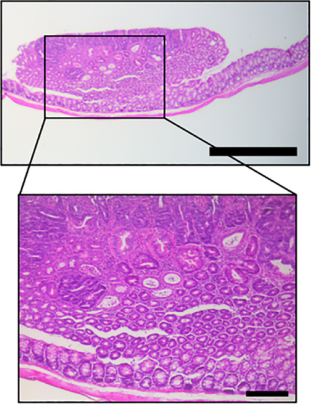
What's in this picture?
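The tumor is composed of crowded glands of irregular size, some elongated and some round, lined by epithelial cells with dark purple nuclei. The glands lie back to back with scant pink stroma between them. Regular crypts of the adjoining flat mucosa lie at the sides. The pink layers of the muscular wall run along the base, and the magnified view shows the densely packed glandular pattern.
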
